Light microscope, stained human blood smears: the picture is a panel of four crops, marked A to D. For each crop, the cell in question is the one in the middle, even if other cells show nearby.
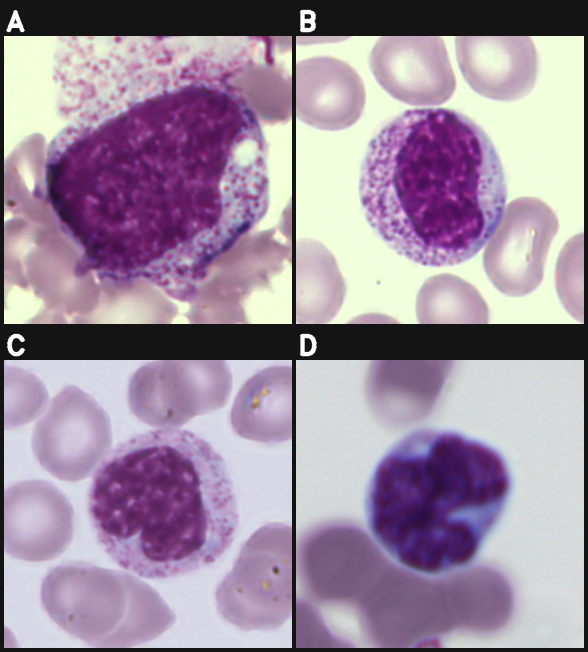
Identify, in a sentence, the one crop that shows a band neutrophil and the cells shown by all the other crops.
In crop C one sees a band neutrophil, while crop A is a myelocyte, crop B is a metamyelocyte and crop D is a monocyte.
